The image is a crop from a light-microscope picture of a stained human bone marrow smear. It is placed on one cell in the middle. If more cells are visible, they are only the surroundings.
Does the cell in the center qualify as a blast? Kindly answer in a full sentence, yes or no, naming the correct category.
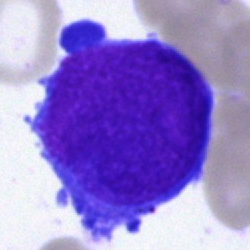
Yes, the cell in the center of this crop is a blast.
